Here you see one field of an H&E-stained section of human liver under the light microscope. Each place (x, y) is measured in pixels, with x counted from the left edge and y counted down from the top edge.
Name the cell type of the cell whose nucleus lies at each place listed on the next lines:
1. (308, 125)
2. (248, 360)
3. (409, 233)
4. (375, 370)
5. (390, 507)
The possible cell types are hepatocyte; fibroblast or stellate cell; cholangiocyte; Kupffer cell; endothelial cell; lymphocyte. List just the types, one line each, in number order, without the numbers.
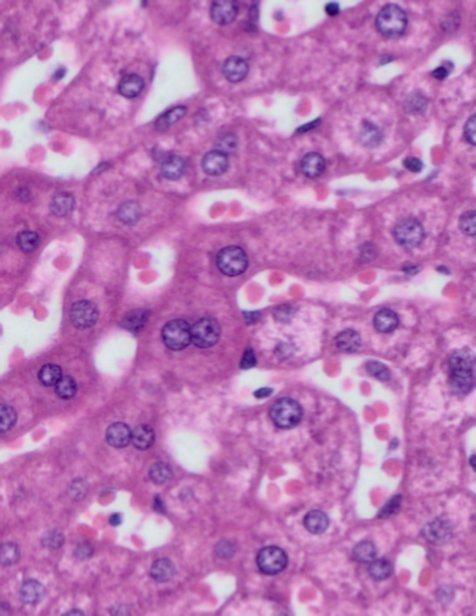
endothelial cell
fibroblast or stellate cell
hepatocyte
Kupffer cell
endothelial cell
